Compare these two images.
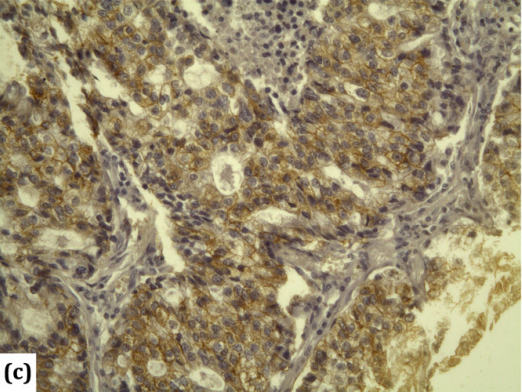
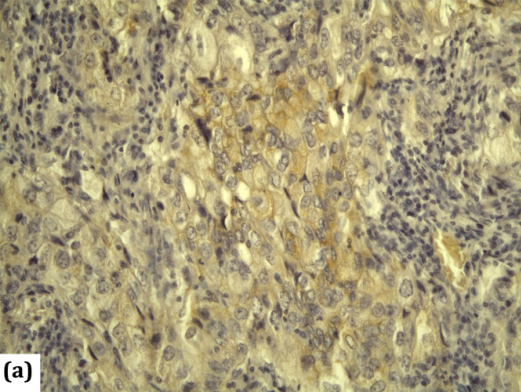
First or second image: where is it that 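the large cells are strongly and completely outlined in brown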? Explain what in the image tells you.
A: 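First image: most large cells show a dark brown rim around their whole outline. Second image: the large cells show only a pale, patchy yellow-brown tint, with no crisp continuous rims.
Conclusion: the first image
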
